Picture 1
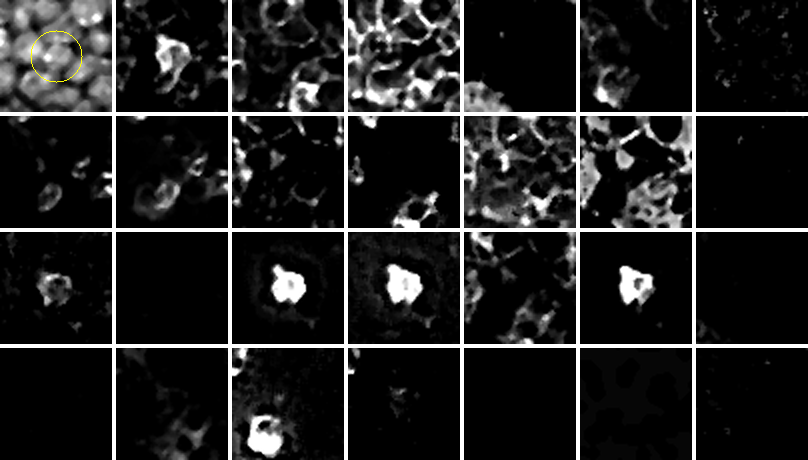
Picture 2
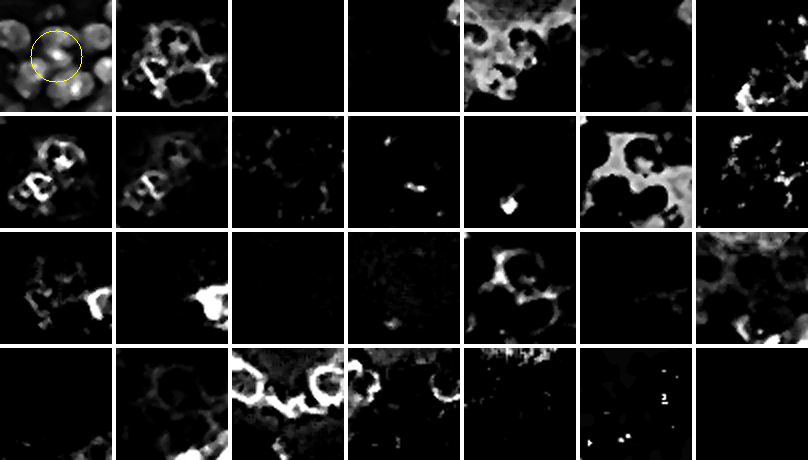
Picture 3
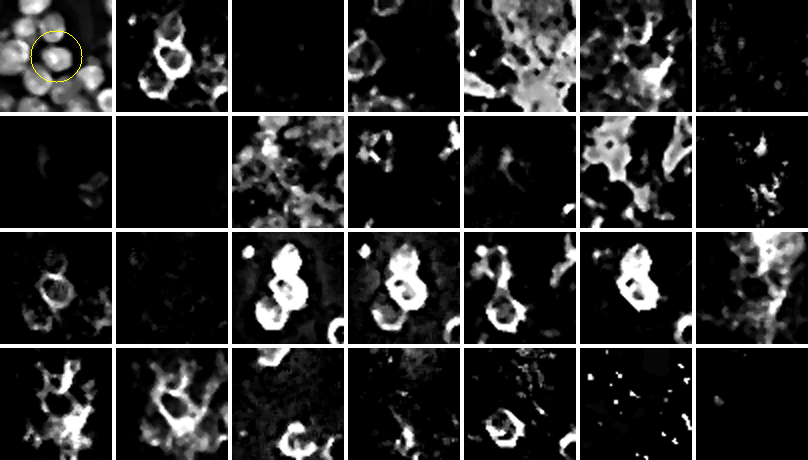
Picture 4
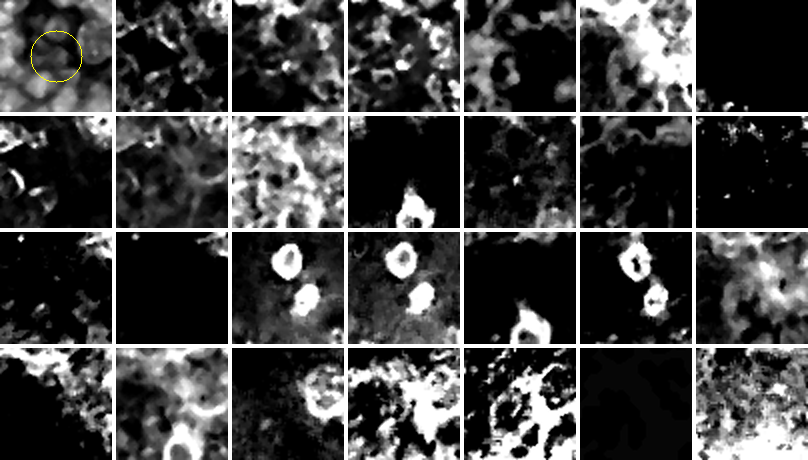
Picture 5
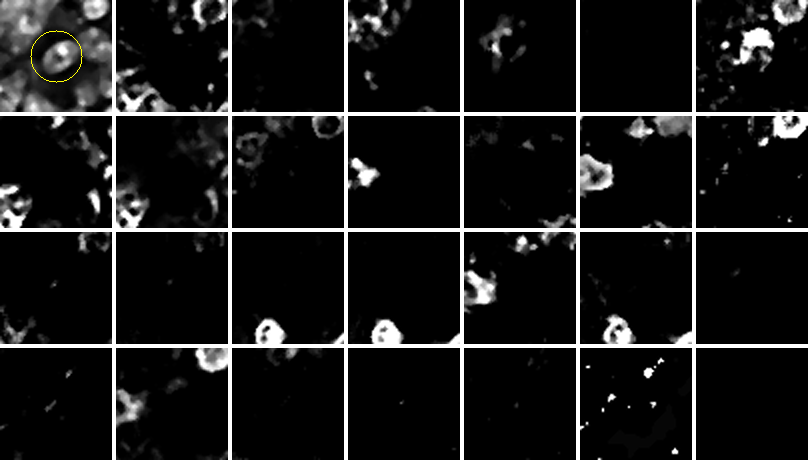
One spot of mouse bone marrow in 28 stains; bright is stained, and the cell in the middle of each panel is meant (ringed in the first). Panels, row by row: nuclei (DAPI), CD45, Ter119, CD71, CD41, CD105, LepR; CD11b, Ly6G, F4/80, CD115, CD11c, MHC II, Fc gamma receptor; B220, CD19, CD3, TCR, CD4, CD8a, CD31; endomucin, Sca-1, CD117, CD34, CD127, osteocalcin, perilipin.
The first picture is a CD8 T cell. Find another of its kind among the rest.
Picture 3.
